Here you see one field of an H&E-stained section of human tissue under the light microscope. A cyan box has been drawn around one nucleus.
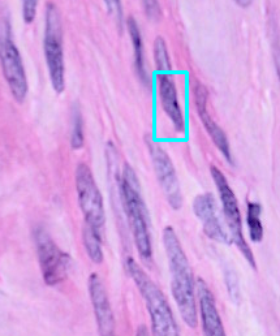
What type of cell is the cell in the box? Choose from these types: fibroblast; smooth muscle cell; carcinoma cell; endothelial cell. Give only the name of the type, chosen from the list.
smooth muscle cell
